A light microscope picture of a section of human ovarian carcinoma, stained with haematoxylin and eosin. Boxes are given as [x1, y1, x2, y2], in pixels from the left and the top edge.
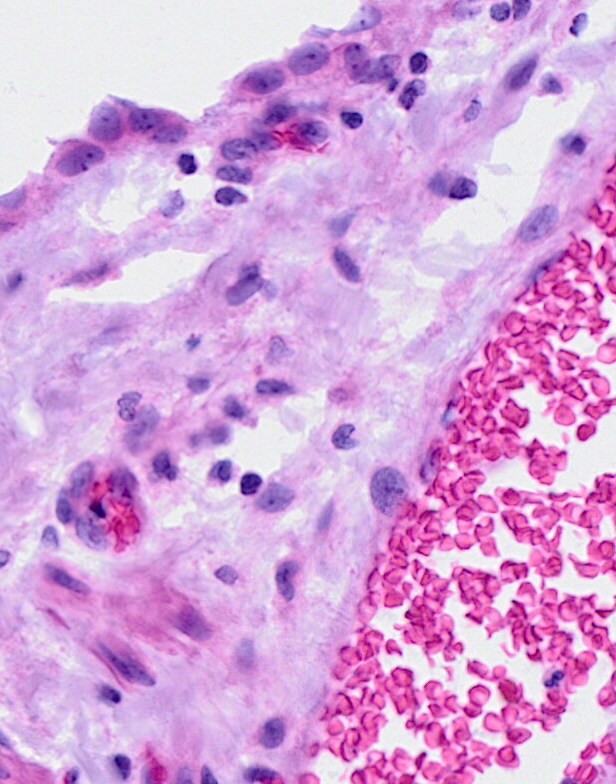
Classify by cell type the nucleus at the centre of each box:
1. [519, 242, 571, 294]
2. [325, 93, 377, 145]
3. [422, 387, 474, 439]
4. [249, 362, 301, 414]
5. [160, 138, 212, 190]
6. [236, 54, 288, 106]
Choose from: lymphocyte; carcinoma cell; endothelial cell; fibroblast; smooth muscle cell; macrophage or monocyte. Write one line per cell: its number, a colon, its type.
1: endothelial cell
2: lymphocyte
3: endothelial cell
4: macrophage or monocyte
5: lymphocyte
6: carcinoma cell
